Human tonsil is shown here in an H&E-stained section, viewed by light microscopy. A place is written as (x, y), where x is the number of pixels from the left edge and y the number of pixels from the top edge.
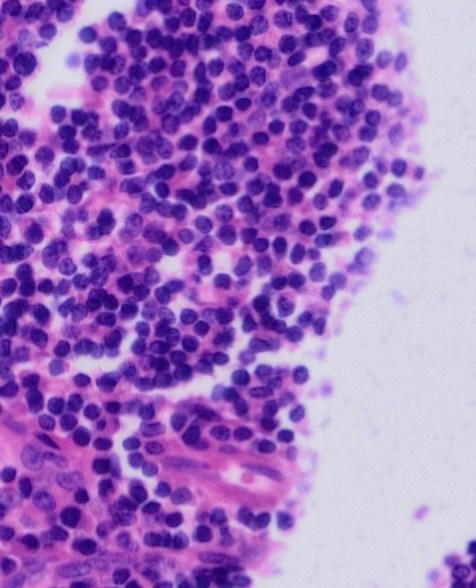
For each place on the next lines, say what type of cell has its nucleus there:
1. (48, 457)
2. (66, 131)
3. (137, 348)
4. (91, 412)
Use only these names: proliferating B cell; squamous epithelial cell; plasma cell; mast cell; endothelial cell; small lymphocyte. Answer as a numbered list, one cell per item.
1. endothelial cell
2. small lymphocyte
3. small lymphocyte
4. small lymphocyte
